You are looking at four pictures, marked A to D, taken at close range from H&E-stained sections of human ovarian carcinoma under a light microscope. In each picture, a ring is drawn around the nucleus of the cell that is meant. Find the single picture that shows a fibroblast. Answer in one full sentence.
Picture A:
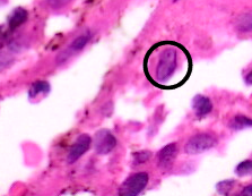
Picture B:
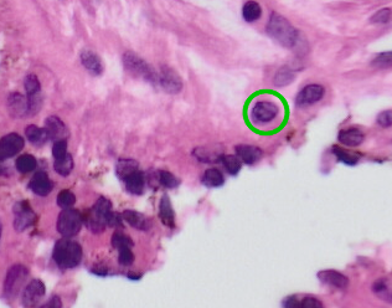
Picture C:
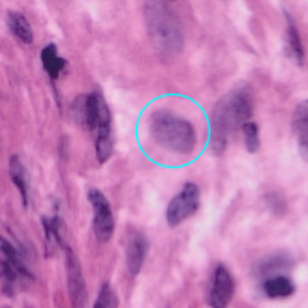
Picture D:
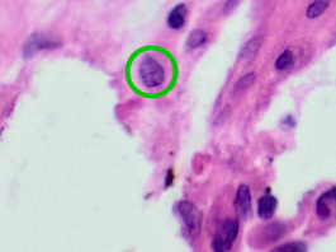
The cell in picture C is the fibroblast.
